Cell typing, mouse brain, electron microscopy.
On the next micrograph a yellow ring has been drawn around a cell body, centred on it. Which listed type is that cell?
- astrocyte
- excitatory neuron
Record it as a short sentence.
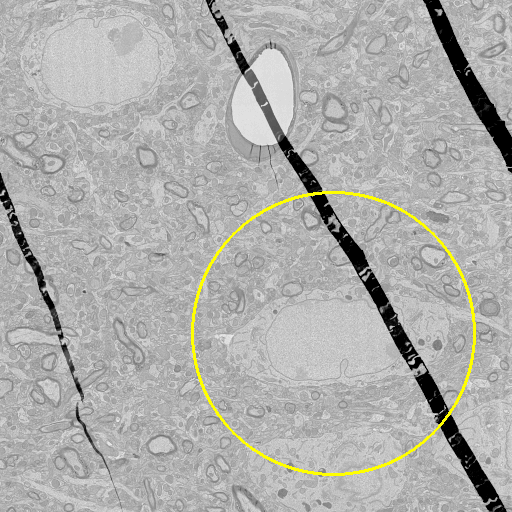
The cell body in the ring's centre belongs to an excitatory neuron.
